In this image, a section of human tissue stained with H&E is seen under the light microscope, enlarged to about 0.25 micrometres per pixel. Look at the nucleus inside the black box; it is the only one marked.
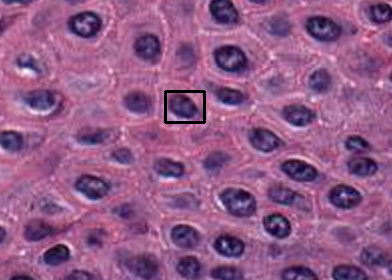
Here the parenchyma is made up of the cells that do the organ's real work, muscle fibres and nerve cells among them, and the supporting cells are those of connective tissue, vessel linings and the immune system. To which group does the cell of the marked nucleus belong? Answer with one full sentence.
The marked nucleus is contained in a parenchymal cell, namely a squamous epithelial cell.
